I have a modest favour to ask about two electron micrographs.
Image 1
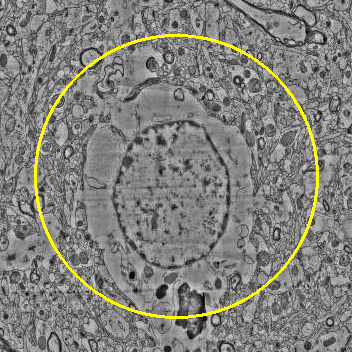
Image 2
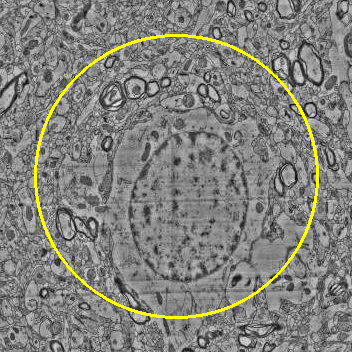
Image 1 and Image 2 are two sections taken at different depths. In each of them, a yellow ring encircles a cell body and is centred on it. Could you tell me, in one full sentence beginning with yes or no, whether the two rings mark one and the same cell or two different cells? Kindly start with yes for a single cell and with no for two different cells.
No, one ring and the other ring mark two distinct cells.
